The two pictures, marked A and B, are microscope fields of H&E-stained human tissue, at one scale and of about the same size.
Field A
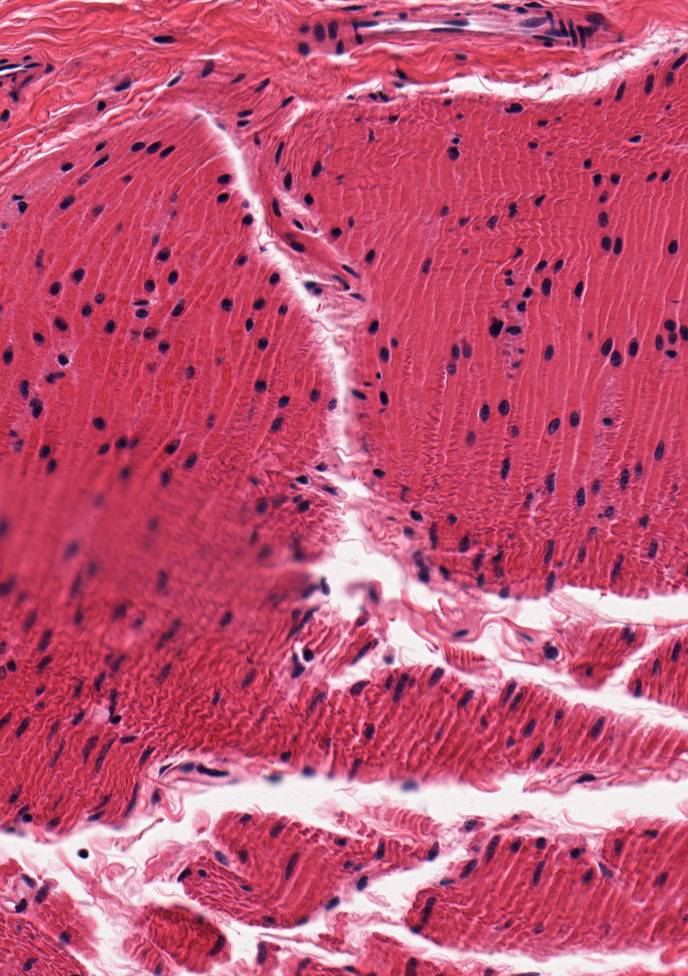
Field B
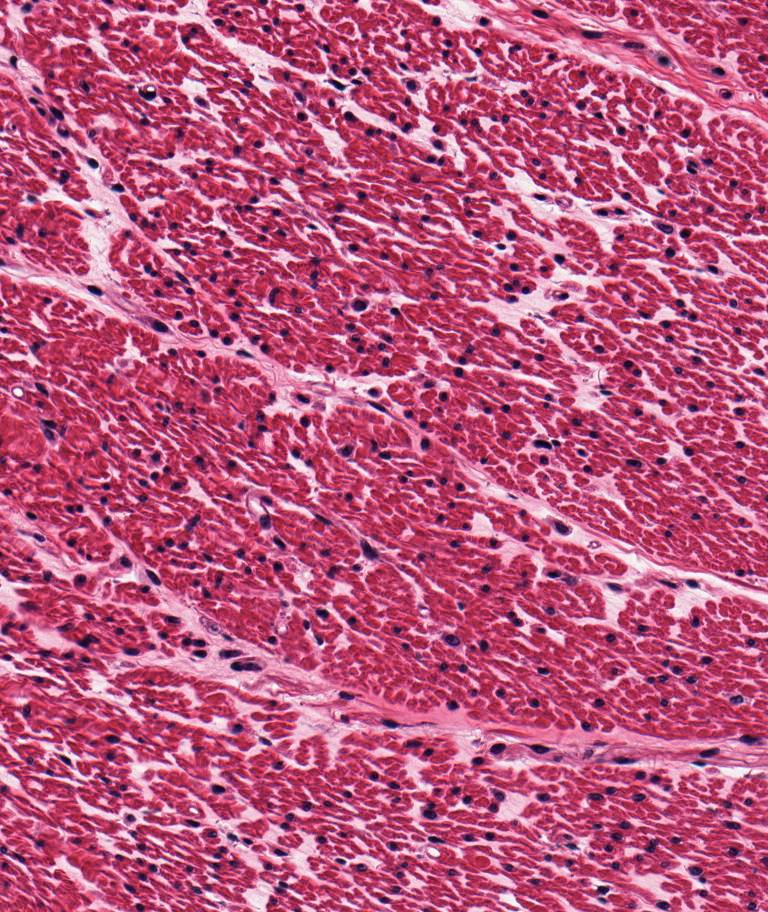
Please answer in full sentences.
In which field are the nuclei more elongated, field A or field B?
Longer, more slender nuclei lie in field A.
